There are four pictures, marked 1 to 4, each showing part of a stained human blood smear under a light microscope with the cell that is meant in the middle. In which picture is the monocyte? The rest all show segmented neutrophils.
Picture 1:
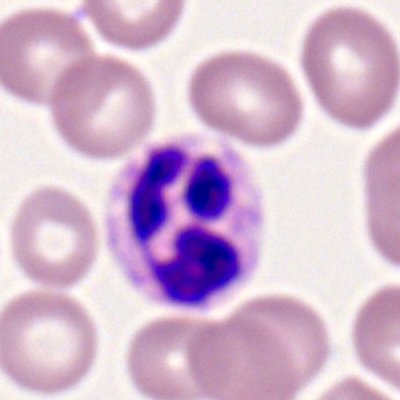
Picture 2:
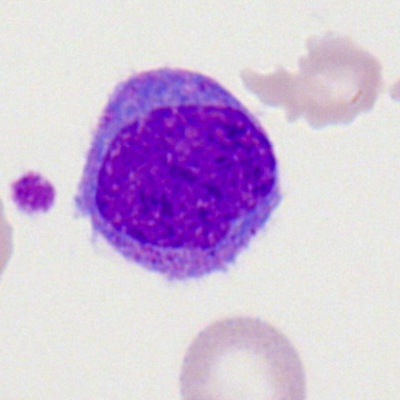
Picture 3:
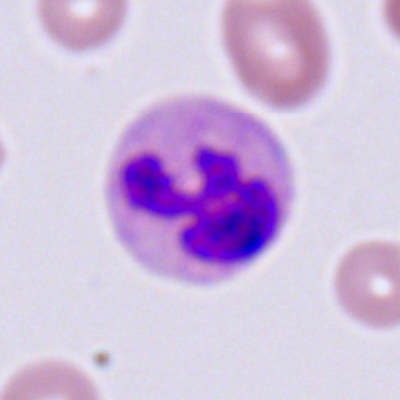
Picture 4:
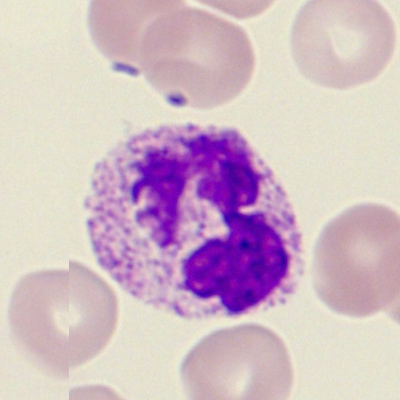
2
